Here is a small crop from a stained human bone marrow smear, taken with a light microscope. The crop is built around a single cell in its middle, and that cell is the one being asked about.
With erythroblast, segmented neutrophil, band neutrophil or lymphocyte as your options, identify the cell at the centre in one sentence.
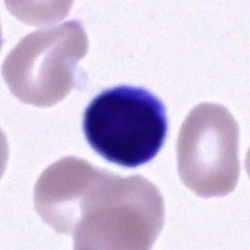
Classified as a lymphocyte is the cell in the middle of this crop.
